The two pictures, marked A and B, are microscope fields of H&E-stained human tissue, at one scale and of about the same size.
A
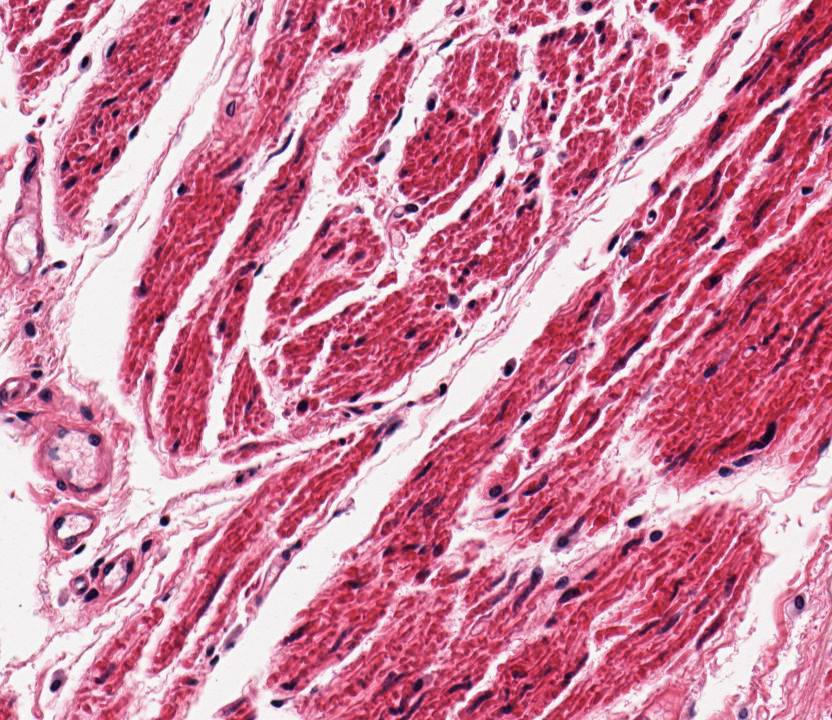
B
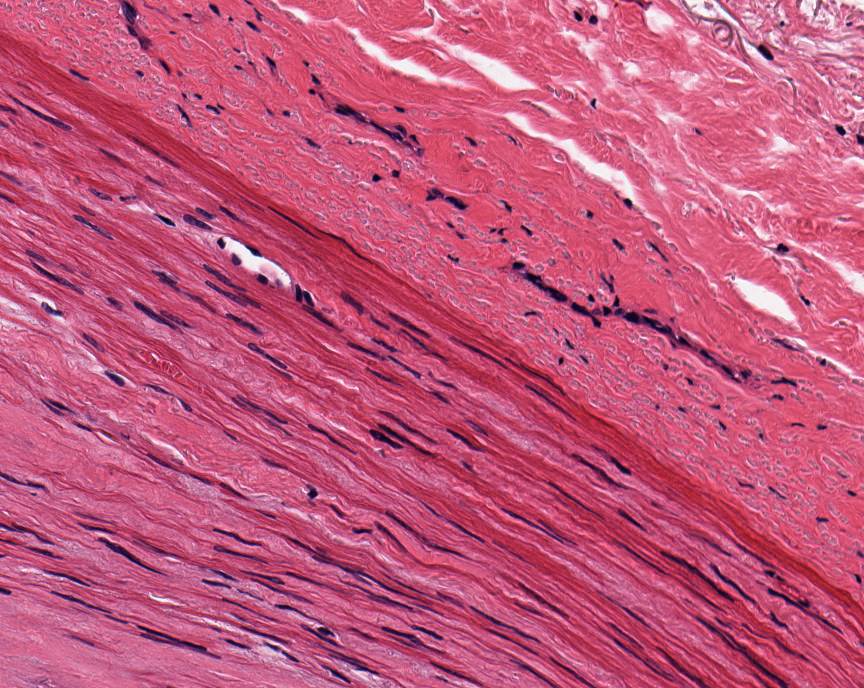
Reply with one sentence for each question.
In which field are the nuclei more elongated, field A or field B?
On the whole the nuclei of field B are more drawn out than those of field A.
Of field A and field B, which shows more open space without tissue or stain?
Field A has more white space.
